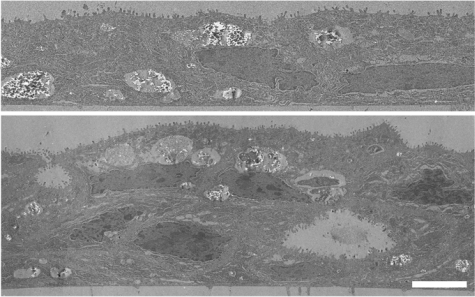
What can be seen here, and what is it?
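Two epithelial cell sheets are seen in vertical section at low magnification: the upper is a thin sheet with microvilli along its top surface and scattered vacuoles with dark granular contents. The lower sheet is thicker and multi-layered, with elongated nuclei and pale, rounded cavities enclosed among the cells.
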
